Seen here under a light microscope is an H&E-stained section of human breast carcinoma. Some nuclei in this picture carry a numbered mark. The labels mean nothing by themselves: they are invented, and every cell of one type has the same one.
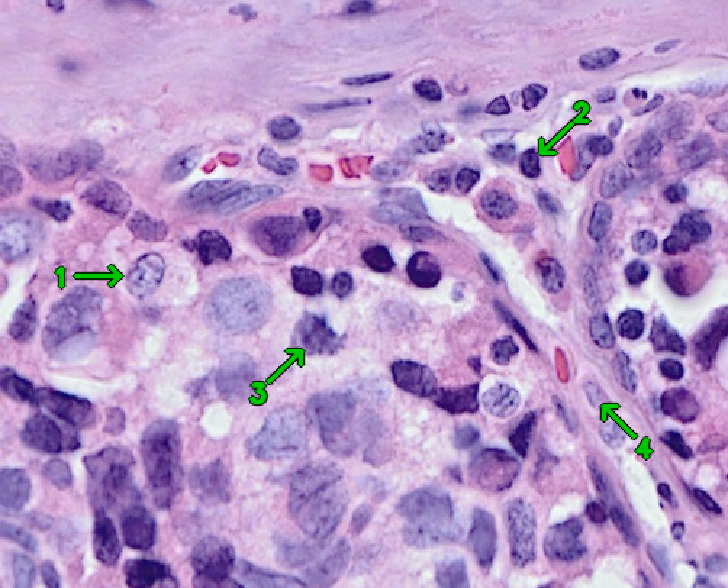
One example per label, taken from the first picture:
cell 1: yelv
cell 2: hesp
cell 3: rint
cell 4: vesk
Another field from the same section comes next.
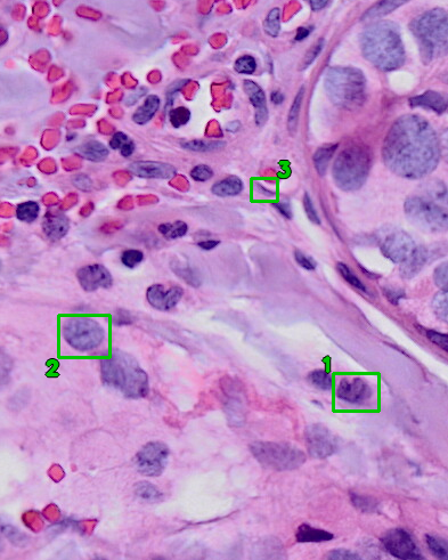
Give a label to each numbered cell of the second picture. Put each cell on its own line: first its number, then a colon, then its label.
1: yelv
2: rint
3: vesk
